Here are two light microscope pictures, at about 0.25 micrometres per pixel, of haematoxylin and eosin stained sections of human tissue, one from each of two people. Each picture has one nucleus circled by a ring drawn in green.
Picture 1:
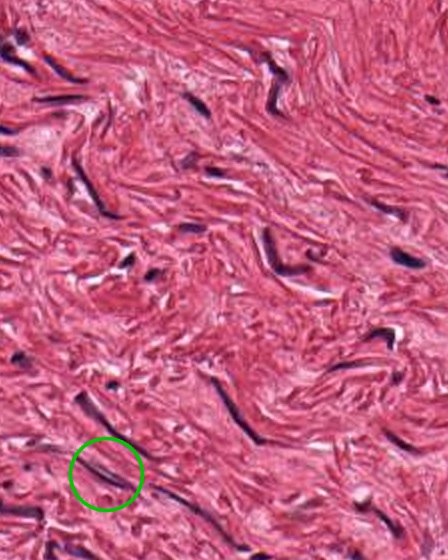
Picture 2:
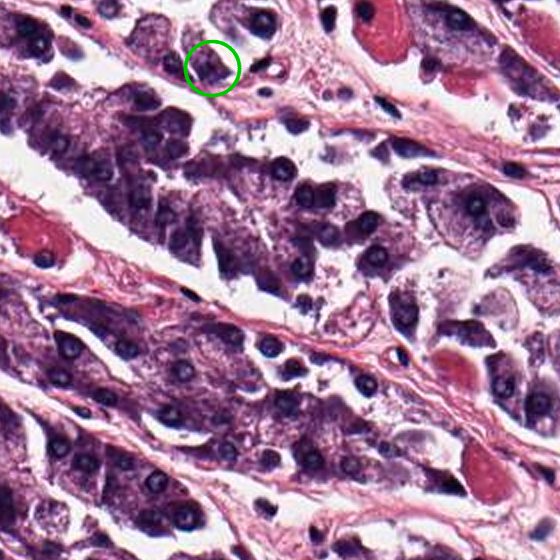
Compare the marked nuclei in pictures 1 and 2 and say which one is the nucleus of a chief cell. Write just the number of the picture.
2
